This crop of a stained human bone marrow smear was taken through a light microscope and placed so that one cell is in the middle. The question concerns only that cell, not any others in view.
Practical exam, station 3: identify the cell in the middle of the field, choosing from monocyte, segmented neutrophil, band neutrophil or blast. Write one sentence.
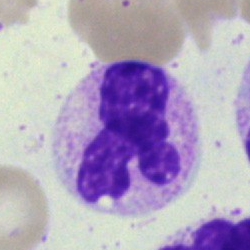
The cell at the middle of the crop is recognized as a segmented neutrophil.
